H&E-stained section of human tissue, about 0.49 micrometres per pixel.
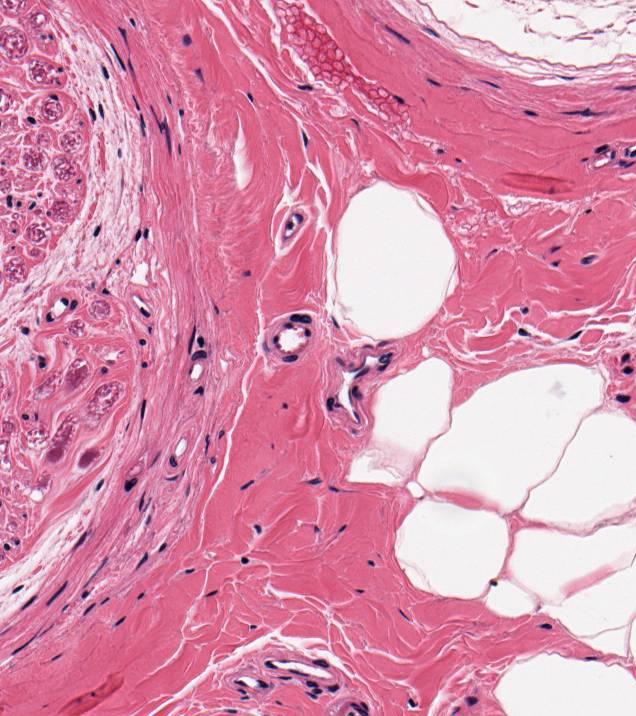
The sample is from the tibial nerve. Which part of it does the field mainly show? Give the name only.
epineurium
